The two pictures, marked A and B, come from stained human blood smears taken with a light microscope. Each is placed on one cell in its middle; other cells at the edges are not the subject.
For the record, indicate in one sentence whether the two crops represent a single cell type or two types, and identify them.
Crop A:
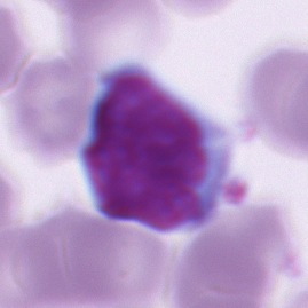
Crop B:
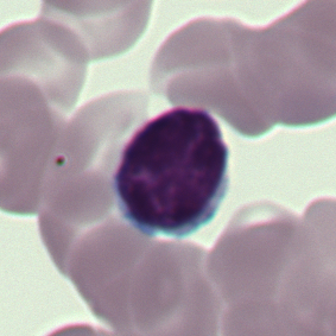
Yes, the cells in the centres of the two crops are typical lymphocytes.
